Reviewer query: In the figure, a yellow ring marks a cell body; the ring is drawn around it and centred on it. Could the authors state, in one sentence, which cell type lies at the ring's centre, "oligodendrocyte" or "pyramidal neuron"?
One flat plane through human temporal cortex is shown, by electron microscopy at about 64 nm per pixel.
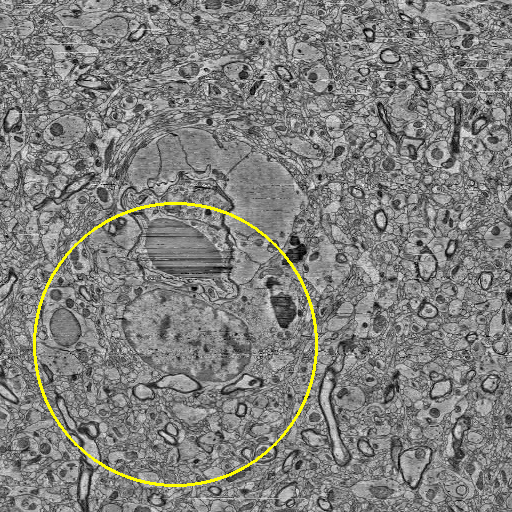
The ring is centred on an oligodendrocyte.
